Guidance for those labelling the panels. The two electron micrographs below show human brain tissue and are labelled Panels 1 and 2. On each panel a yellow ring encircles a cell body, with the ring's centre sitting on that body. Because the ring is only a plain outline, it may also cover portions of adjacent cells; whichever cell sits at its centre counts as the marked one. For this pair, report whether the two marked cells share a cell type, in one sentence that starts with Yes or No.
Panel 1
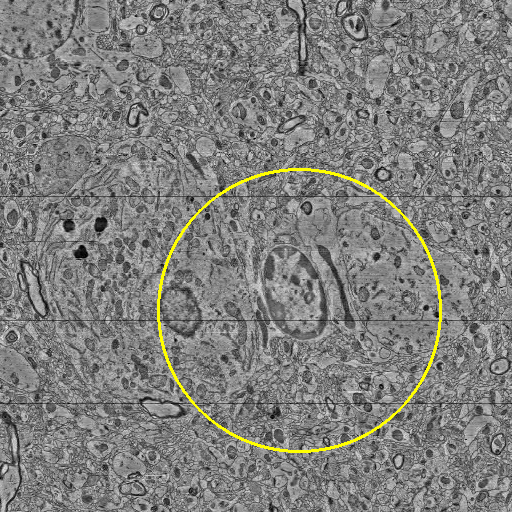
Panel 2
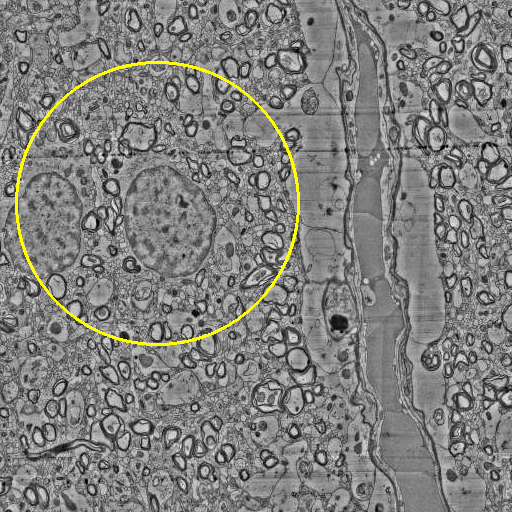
No, in Panel 1 and Panel 2 the marked cells at the ring centres are of two types.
